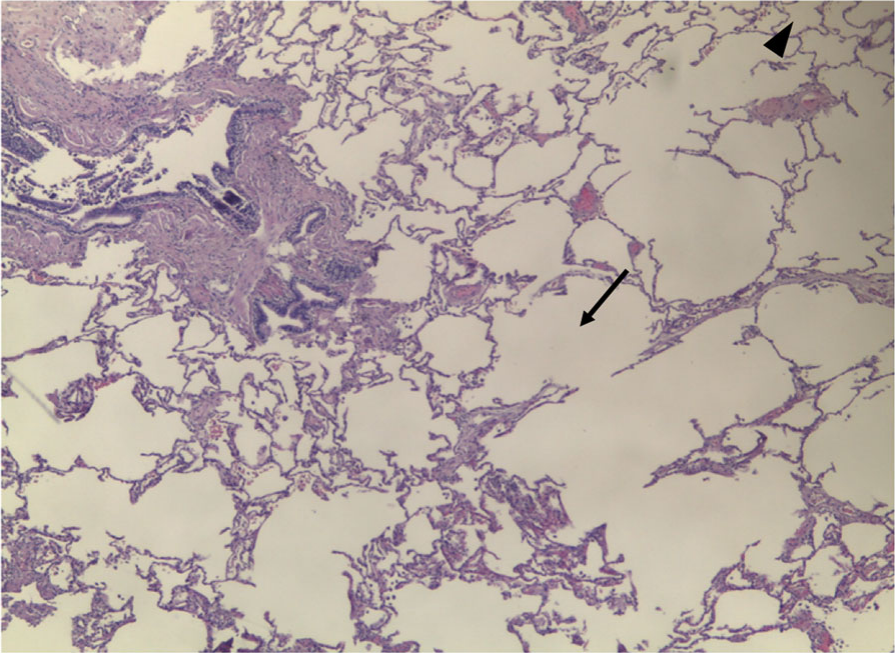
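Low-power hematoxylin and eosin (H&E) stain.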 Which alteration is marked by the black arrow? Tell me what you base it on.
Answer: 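Emphysematous spaces. The arrow points into a very large empty space far wider than neighbouring alveoli. Thin walls around the space are interrupted, with free-ending fragments.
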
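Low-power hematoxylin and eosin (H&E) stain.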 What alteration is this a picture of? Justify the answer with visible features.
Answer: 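Destruction of alveolar walls. Many airspaces are greatly enlarged and merge into one another. Thin septa end freely or appear as broken strands within the spaces.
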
